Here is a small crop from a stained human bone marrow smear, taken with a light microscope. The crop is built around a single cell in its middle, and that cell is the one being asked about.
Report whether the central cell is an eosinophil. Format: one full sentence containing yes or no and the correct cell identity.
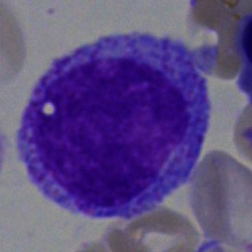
No, the centrally placed cell is a promyelocyte, not an eosinophil.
